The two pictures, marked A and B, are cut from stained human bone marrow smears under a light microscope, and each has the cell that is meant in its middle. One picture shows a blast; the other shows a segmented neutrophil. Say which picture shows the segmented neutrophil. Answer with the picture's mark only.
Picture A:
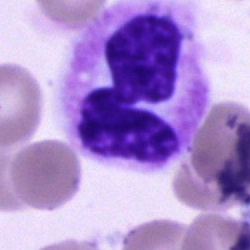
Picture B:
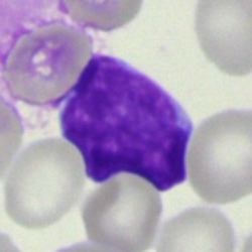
A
